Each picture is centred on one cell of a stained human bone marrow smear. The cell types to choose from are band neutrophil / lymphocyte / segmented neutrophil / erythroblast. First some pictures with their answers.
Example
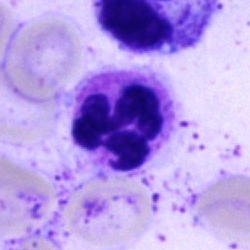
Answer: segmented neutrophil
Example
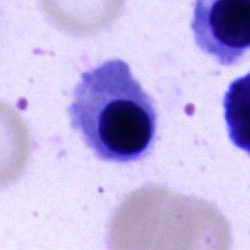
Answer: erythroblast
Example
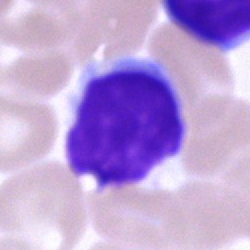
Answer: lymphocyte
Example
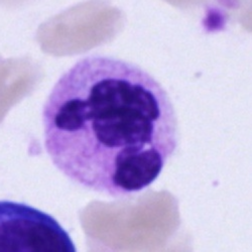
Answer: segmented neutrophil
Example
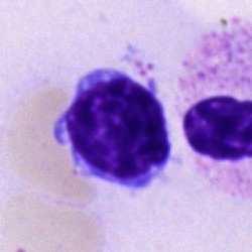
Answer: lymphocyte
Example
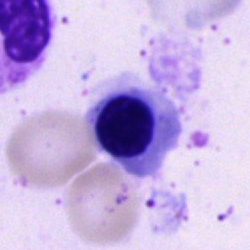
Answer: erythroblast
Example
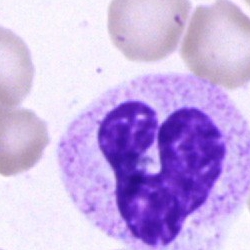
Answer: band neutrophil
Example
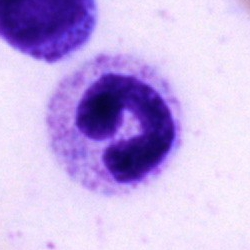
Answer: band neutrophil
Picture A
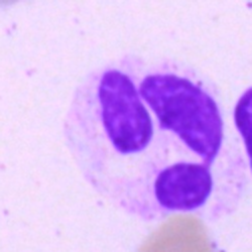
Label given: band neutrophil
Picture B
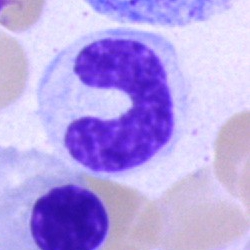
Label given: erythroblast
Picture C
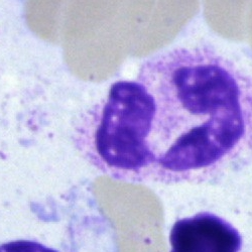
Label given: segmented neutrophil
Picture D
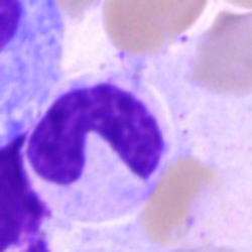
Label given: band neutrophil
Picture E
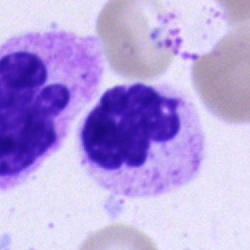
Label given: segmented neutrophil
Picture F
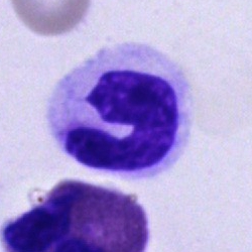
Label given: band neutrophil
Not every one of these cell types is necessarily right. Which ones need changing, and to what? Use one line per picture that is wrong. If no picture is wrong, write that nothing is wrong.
Wrong: A (band neutrophil); correct: segmented neutrophil
Wrong: B (erythroblast); correct: band neutrophil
